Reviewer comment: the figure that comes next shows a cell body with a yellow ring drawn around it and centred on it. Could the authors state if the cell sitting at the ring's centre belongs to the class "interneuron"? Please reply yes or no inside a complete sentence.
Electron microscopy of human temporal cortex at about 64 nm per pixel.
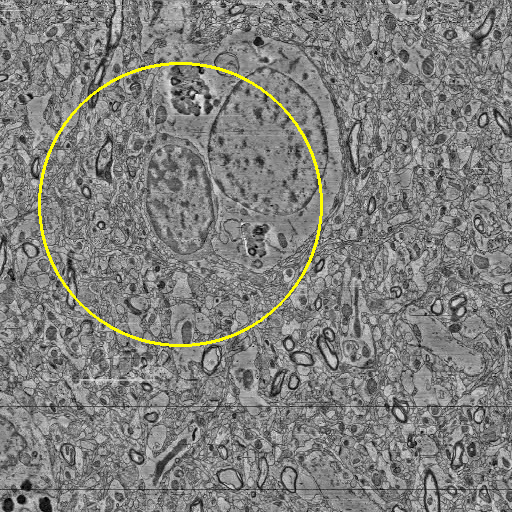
No, in the figure, the cell at the ring's centre belongs to a different class.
